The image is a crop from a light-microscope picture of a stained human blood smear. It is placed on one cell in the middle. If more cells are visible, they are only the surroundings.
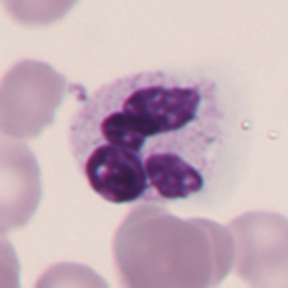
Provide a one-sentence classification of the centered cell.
The cell at the middle of the frame should be recorded as a segmented neutrophil.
